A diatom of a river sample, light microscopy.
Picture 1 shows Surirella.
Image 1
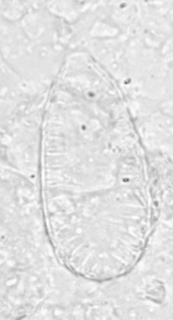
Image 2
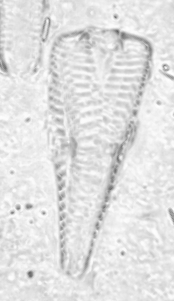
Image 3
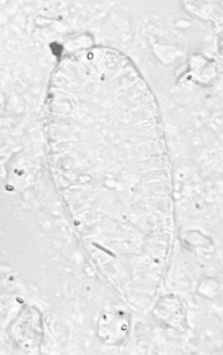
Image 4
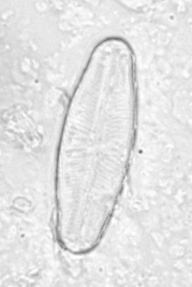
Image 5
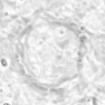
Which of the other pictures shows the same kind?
Picture 3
